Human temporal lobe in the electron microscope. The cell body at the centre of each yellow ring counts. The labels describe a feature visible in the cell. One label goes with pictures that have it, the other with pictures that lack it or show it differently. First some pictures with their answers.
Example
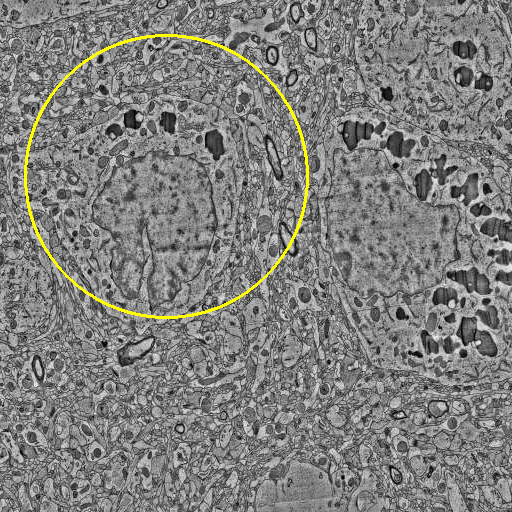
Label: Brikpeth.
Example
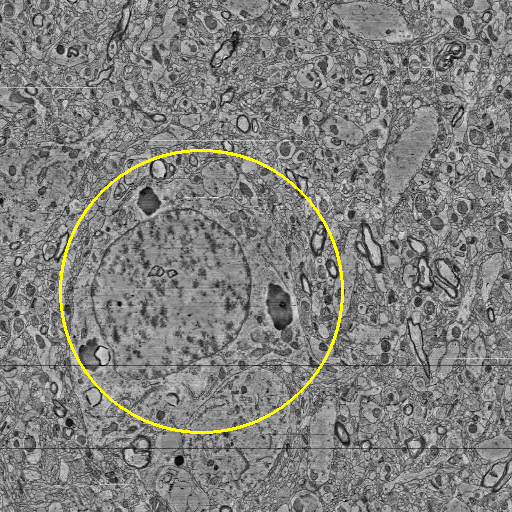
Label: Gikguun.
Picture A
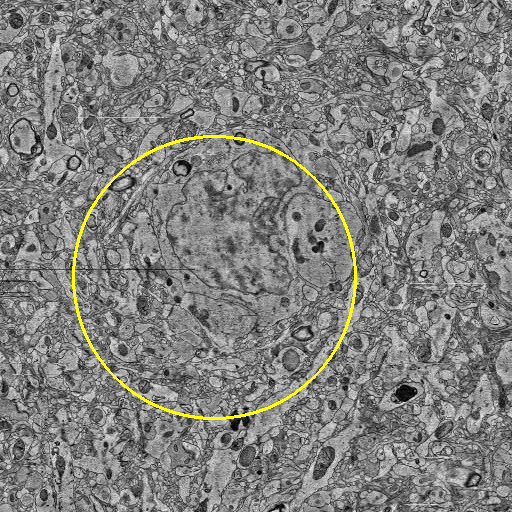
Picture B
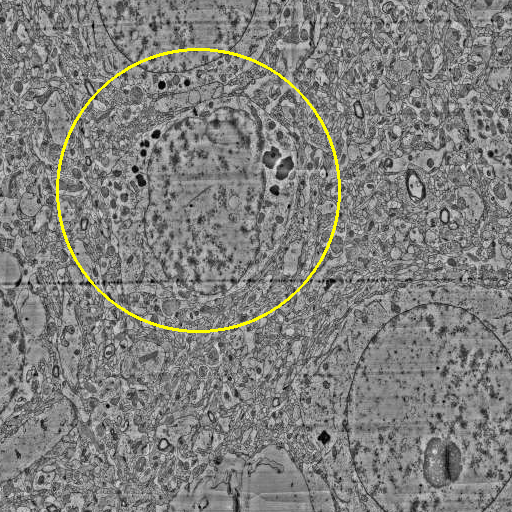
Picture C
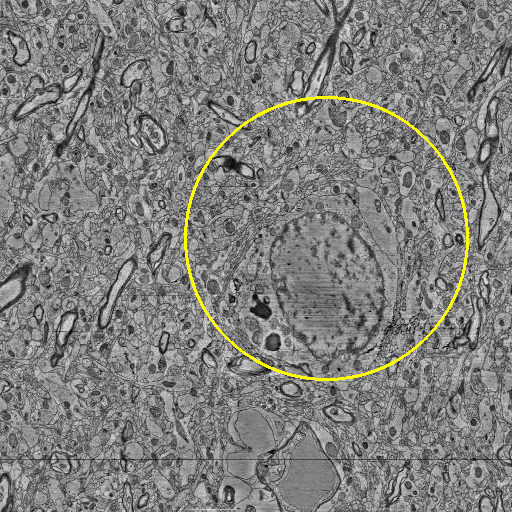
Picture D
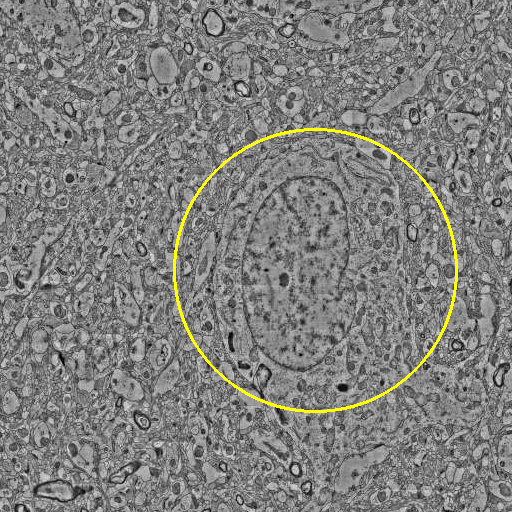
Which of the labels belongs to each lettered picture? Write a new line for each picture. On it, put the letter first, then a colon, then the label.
A: Brikpeth.
B: Gikguun.
C: Gikguun.
D: Gikguun.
